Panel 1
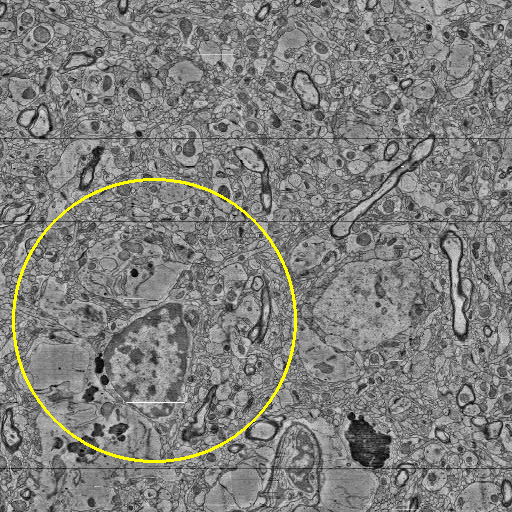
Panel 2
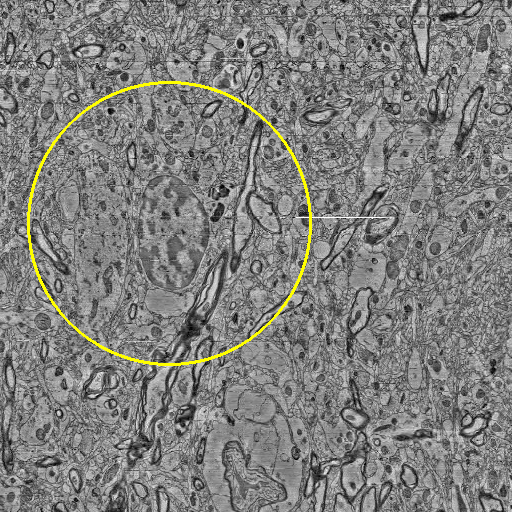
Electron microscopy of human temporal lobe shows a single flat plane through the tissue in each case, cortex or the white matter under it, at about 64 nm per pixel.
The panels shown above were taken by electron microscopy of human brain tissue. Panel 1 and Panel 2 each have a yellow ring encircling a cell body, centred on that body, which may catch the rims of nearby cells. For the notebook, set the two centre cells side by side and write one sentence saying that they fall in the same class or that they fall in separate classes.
The centred cells of Panel 1 and Panel 2 fall in the same class.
